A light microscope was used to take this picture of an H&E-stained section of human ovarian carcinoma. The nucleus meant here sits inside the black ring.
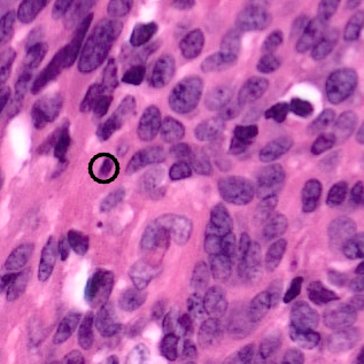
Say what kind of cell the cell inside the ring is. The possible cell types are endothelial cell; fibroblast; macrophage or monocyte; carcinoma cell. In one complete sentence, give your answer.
As far as its identity is concerned, the cell inside the ring is an endothelial cell.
